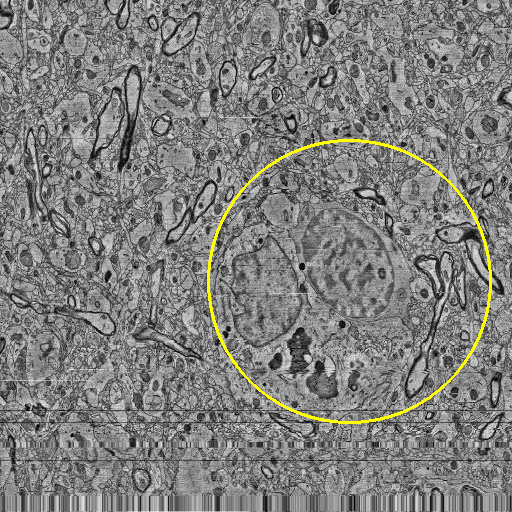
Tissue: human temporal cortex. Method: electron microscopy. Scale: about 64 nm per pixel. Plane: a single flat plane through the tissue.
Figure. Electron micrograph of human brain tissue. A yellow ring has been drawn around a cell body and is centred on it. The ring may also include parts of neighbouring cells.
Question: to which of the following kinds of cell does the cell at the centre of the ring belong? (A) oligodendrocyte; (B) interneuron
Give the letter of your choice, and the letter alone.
A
